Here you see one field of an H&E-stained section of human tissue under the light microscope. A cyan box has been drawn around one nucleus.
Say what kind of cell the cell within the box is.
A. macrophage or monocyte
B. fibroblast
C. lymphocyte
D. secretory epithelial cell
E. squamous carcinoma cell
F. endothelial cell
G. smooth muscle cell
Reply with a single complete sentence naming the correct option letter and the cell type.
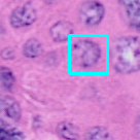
Exactly as option E gives it, the cell within the box is a squamous carcinoma cell.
